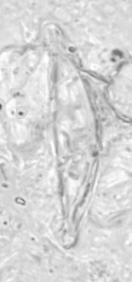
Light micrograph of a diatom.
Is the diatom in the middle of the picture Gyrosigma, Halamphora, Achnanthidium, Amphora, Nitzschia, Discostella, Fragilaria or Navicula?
It is Halamphora.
